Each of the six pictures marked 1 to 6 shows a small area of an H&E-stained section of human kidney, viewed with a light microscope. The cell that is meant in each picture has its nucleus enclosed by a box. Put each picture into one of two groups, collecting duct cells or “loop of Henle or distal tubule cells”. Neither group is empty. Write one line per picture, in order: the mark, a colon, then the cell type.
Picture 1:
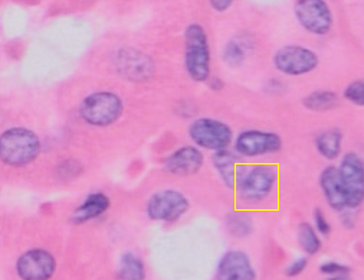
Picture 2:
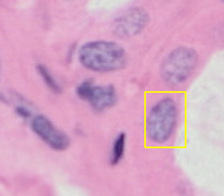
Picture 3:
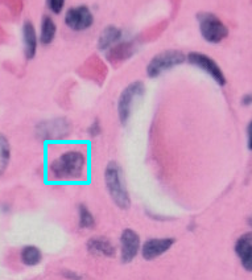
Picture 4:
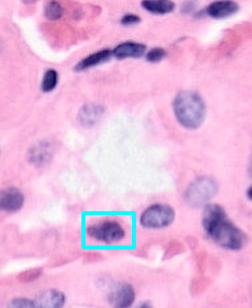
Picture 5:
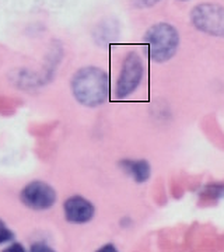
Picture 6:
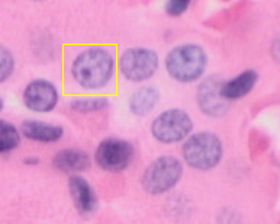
1: collecting duct cell
2: loop of Henle or distal tubule cell
3: loop of Henle or distal tubule cell
4: loop of Henle or distal tubule cell
5: collecting duct cell
6: collecting duct cell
